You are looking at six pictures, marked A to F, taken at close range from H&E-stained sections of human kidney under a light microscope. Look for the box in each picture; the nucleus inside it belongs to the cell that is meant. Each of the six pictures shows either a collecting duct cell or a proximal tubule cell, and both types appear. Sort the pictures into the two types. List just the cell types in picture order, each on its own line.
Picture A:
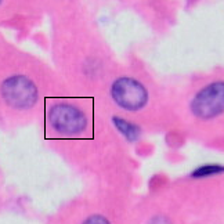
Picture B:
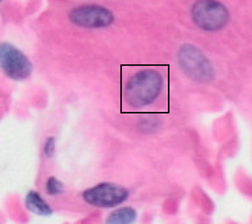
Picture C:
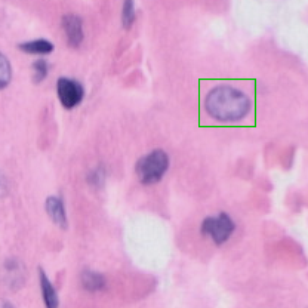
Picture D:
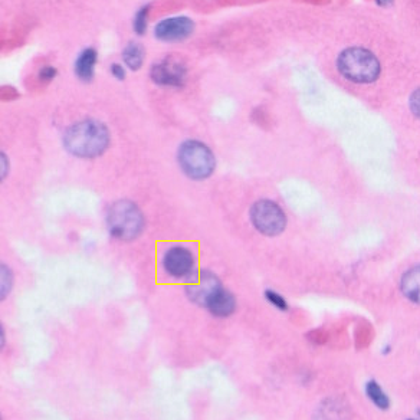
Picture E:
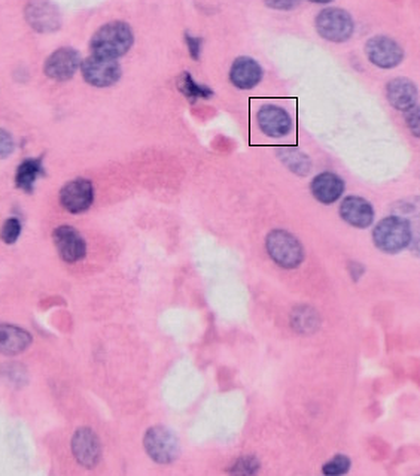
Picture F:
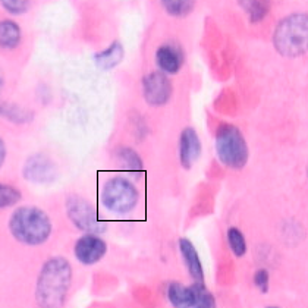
proximal tubule cell
proximal tubule cell
proximal tubule cell
proximal tubule cell
collecting duct cell
collecting duct cell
